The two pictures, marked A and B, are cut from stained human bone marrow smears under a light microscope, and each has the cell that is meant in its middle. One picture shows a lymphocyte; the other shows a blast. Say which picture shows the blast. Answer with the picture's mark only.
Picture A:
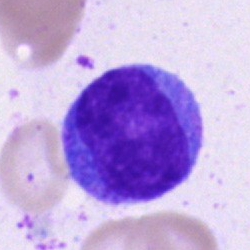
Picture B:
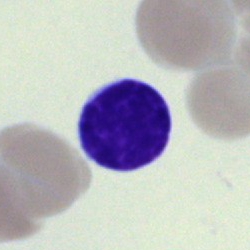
A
